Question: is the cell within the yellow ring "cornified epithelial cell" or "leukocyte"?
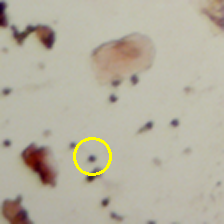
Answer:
leukocyte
